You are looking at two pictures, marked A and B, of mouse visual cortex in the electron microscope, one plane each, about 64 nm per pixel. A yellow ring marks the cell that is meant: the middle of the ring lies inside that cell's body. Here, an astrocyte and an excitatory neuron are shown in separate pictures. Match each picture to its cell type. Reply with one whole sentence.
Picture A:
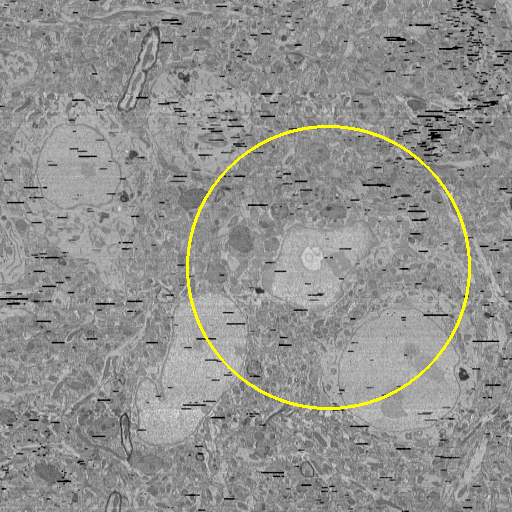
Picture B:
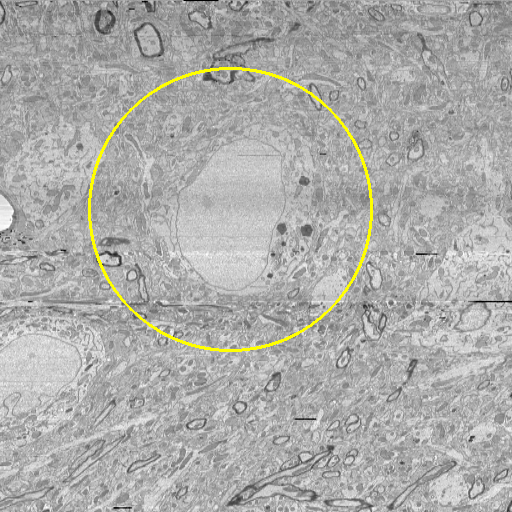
It is picture A that shows an astrocyte, and picture B that shows an excitatory neuron.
